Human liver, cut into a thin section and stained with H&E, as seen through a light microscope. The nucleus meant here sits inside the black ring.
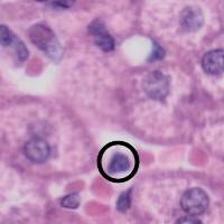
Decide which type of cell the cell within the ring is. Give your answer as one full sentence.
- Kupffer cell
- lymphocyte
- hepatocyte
In cellular terms, the cell within the ring is a lymphocyte.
